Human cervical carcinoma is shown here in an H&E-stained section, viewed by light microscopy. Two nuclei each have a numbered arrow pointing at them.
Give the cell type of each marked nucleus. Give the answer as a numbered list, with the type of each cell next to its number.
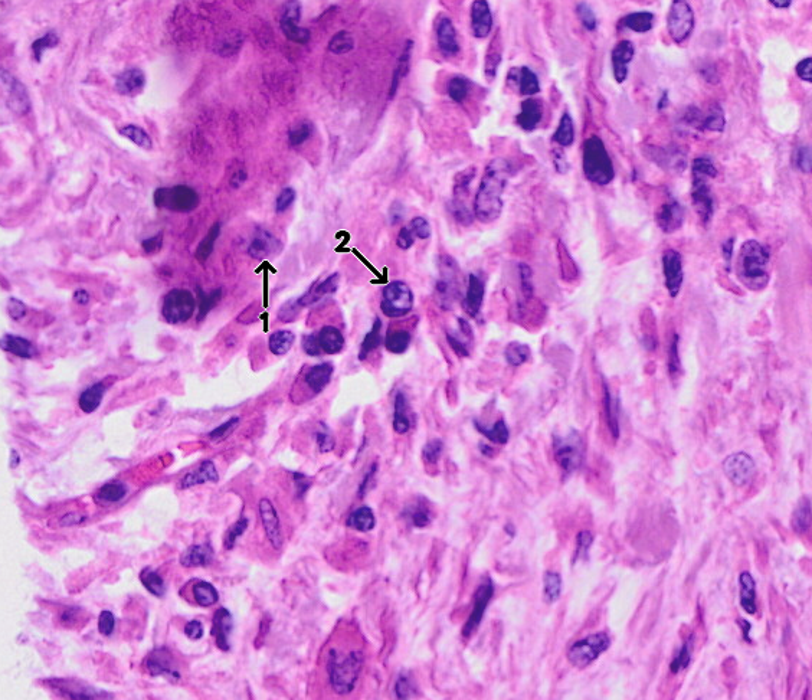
1. macrophage or monocyte
2. lymphocyte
